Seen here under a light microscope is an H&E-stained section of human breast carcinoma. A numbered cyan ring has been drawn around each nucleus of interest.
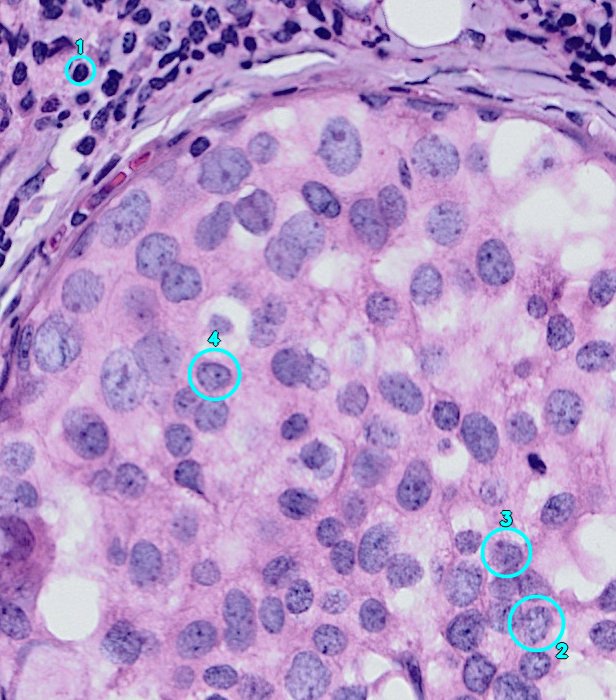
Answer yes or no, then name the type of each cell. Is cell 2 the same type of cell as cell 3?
Yes, cells 2 and 3 have the same identity; both are carcinoma cells.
